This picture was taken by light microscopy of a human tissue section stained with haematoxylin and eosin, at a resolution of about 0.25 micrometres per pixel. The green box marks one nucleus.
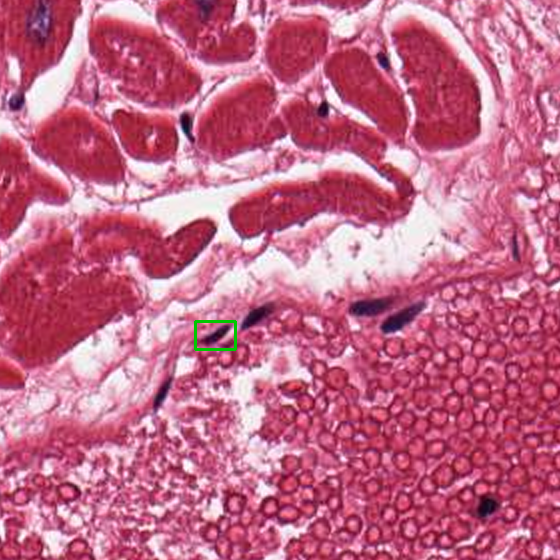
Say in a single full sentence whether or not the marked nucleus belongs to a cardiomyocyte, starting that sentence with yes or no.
No, the marked nucleus belongs not to a cardiomyocyte but to a supporting cell of connective tissue, a vessel or the immune system.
